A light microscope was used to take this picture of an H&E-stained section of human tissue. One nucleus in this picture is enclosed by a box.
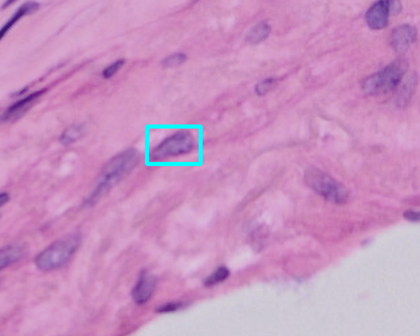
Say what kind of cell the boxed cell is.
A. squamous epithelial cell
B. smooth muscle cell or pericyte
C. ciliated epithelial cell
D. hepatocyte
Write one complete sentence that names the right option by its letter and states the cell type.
Option B is the one to take: the boxed cell is a smooth muscle cell or pericyte.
